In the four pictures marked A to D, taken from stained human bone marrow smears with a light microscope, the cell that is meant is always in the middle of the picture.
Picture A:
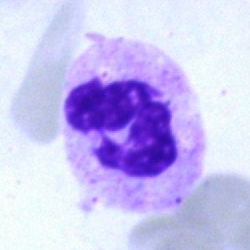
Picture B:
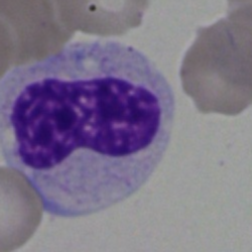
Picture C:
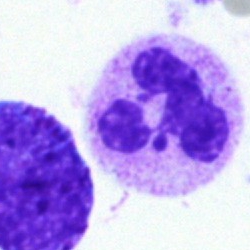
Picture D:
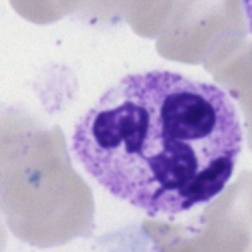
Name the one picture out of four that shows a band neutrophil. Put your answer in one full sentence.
It is picture B that shows the band neutrophil.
